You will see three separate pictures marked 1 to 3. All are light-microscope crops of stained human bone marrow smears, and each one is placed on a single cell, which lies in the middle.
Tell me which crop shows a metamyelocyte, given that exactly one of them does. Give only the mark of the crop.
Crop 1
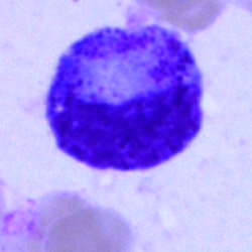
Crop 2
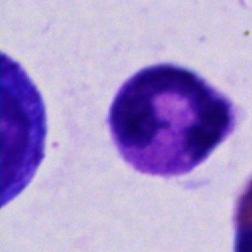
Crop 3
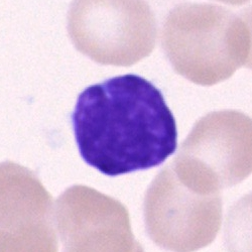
1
